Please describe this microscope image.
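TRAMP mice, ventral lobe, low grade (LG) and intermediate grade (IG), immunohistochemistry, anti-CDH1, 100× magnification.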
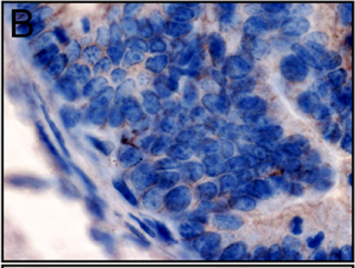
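Prostatic epithelium from a non-invasive lesion, seen at high power. The epithelial cells are crowded and stacked in several layers, with round to oval blue nuclei and scant pale cytoplasm. Cell borders show little or no brown stain. A band of elongated spindle-shaped stromal cells runs along the left edge beside the epithelium.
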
